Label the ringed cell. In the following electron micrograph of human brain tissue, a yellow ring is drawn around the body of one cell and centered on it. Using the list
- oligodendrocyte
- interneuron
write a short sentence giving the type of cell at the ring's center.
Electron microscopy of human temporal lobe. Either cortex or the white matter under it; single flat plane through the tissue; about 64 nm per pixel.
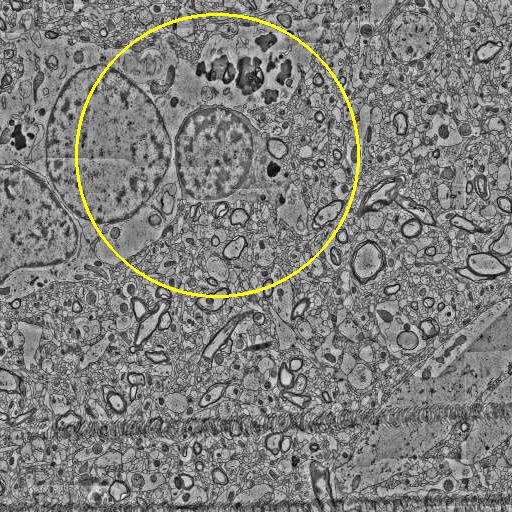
The cell body at the ring's center is that of an oligodendrocyte.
